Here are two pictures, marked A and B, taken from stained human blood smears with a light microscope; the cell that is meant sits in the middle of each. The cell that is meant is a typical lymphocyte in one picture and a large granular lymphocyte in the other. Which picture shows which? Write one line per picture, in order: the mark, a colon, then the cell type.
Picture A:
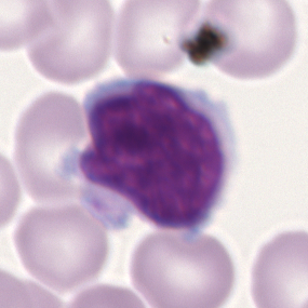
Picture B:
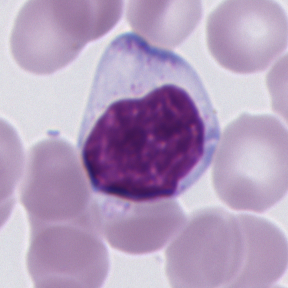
A: typical lymphocyte
B: large granular lymphocyte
